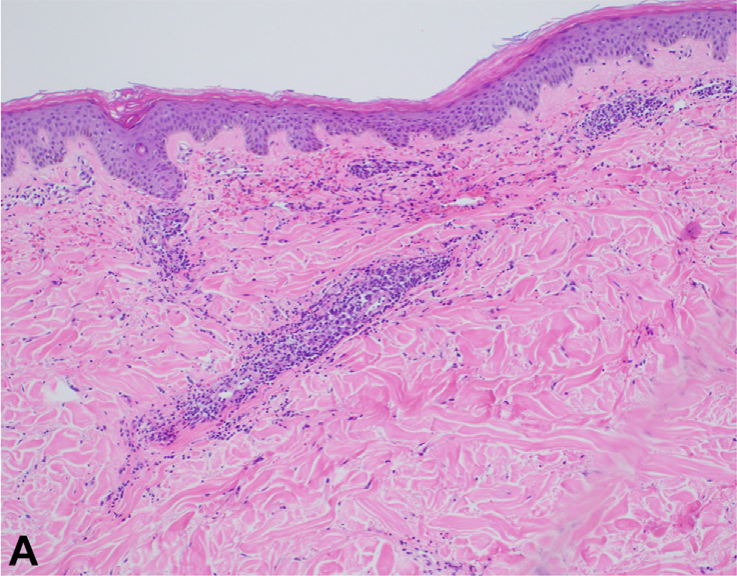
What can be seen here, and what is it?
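Skin with overlying epidermis and dermis showing perivascular and vessel-wall inflammation. The epidermis is a thin layer of purple keratinocytes with a pink cornified surface and small rete ridges. In the upper dermis, scattered red blood cells lie among the collagen beneath the epidermis. Dermal vessels, both superficial and a longer oblique vessel deeper down, are cuffed by dense collections of small dark-purple nuclei. The surrounding dermis is made of pink, wavy collagen bundles with sparse cells.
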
